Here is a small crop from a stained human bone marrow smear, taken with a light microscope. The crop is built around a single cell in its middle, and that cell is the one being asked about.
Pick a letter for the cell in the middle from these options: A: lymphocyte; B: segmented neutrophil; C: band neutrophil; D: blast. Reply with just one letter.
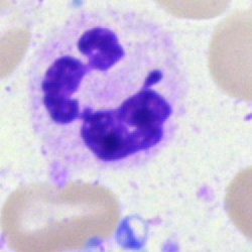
B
